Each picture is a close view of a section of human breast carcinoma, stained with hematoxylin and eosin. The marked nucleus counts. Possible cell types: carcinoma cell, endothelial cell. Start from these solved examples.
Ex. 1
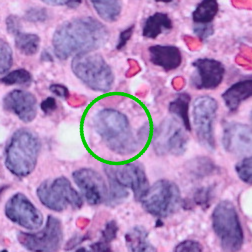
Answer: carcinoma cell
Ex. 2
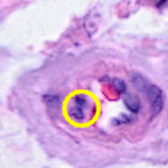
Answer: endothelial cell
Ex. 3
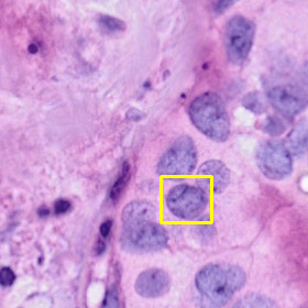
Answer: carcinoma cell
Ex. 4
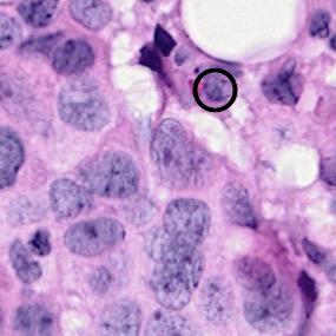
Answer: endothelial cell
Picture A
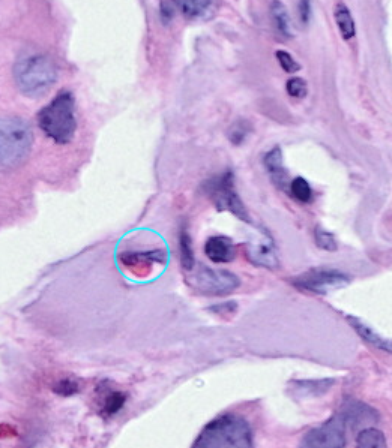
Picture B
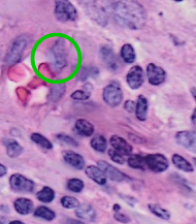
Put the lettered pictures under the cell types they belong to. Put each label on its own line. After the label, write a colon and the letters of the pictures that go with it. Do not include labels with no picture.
endothelial cell: A, B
